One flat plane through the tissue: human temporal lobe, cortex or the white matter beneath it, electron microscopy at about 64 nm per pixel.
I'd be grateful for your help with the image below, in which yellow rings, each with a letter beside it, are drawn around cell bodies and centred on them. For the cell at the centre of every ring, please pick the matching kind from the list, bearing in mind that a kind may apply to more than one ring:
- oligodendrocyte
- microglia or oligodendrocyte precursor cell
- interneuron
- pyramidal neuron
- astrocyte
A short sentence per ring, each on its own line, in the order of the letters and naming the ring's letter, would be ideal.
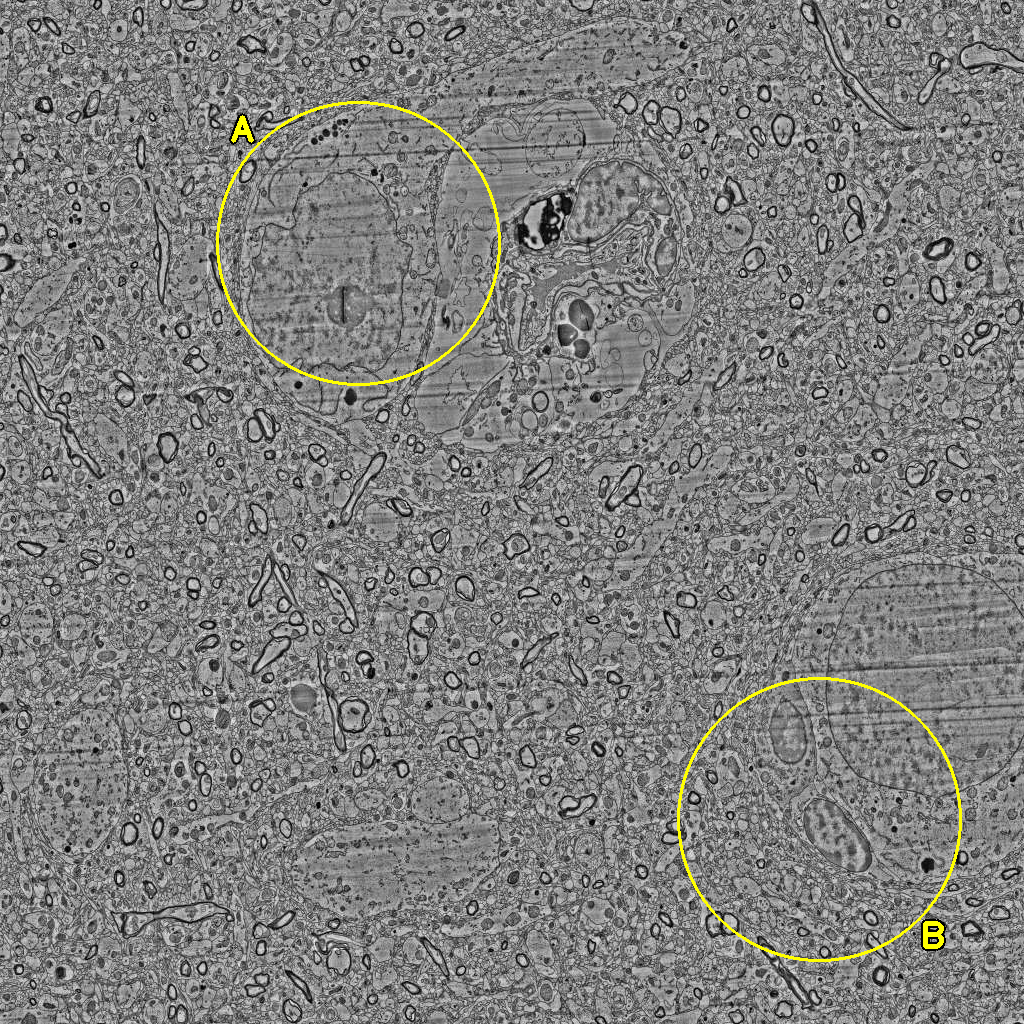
Inside ring A, the central cell is a pyramidal neuron.
Inside ring B, the central cell is a microglial cell or oligodendrocyte precursor cell.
